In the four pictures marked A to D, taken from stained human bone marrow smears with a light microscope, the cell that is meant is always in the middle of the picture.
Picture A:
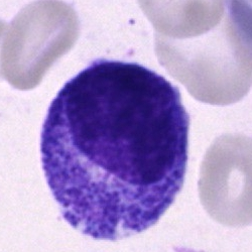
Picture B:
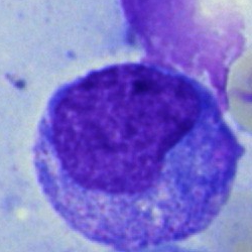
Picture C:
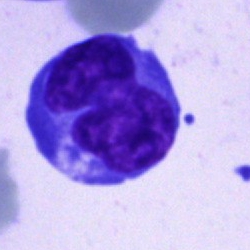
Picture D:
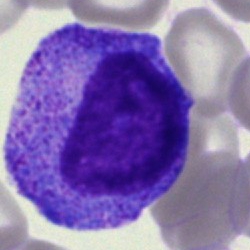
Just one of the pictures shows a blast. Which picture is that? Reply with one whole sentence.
Picture C is the one that shows the blast.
